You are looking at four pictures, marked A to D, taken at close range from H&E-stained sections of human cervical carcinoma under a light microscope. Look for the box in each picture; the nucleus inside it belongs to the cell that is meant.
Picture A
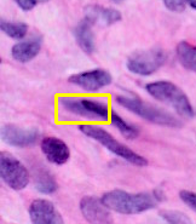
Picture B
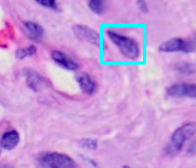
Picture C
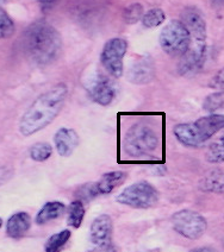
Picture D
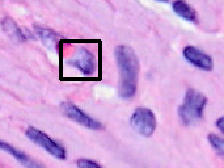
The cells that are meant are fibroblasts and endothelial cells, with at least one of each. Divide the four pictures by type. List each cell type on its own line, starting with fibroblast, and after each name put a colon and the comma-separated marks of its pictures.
fibroblast: A, B
endothelial cell: C, D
